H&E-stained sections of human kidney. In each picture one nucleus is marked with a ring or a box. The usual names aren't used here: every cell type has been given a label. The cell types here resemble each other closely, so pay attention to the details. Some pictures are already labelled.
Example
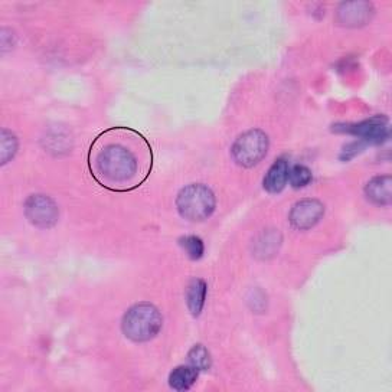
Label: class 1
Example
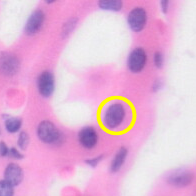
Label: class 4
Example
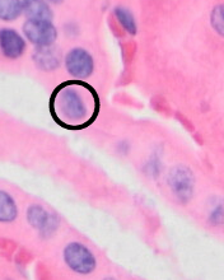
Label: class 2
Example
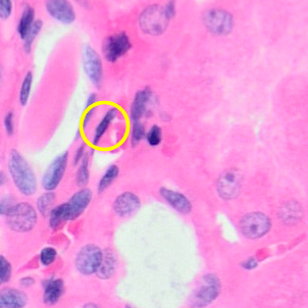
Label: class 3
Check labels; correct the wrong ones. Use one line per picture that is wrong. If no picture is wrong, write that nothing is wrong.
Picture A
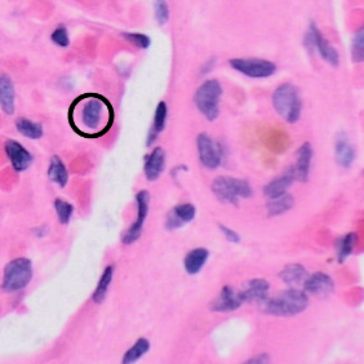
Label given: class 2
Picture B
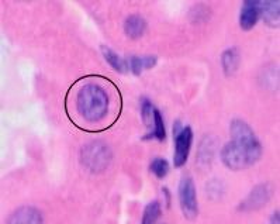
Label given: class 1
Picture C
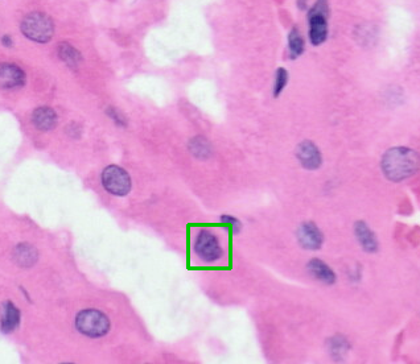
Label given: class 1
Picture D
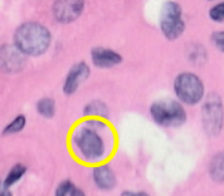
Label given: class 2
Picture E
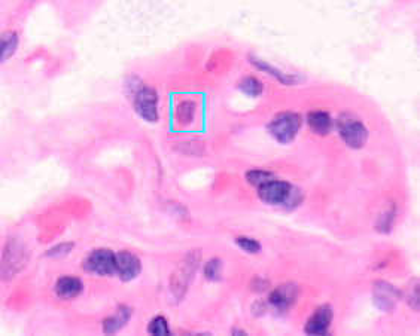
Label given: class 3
A: change class 2 to class 3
